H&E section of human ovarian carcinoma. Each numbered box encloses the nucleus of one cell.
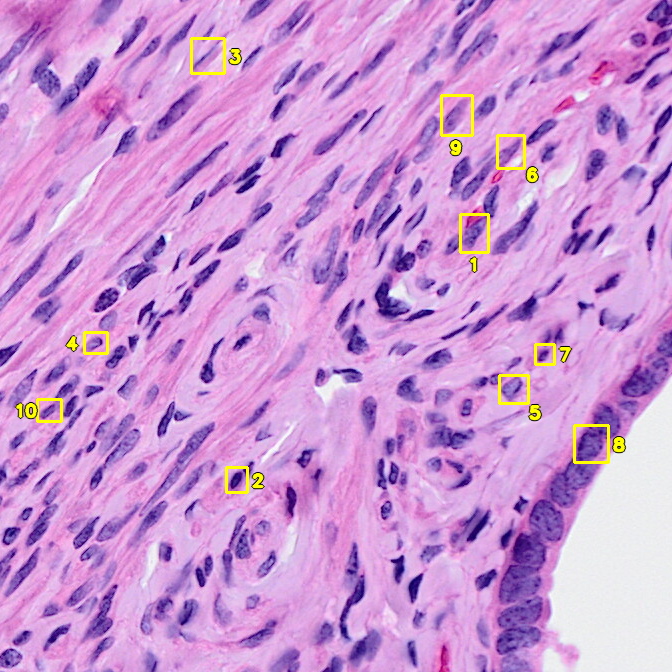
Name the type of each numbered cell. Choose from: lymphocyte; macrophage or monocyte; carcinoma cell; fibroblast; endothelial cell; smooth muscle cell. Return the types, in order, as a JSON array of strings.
["endothelial cell", "smooth muscle cell", "fibroblast", "smooth muscle cell", "smooth muscle cell", "endothelial cell", "smooth muscle cell", "carcinoma cell", "smooth muscle cell", "smooth muscle cell"]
